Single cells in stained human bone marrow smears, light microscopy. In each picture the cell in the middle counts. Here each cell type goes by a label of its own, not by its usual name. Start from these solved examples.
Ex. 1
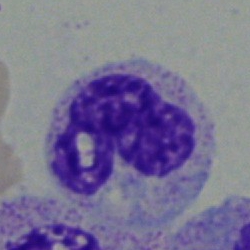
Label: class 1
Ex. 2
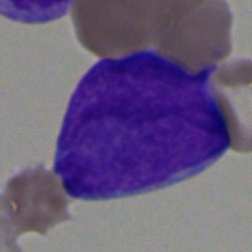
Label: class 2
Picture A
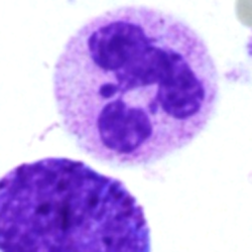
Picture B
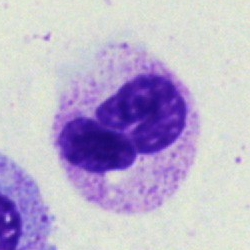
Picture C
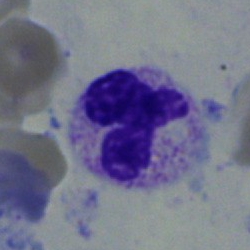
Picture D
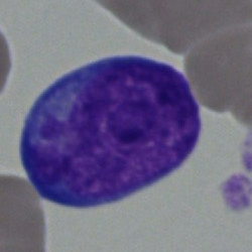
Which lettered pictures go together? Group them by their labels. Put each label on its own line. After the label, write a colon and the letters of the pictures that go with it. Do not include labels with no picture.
class 1: A, B, C
class 2: D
